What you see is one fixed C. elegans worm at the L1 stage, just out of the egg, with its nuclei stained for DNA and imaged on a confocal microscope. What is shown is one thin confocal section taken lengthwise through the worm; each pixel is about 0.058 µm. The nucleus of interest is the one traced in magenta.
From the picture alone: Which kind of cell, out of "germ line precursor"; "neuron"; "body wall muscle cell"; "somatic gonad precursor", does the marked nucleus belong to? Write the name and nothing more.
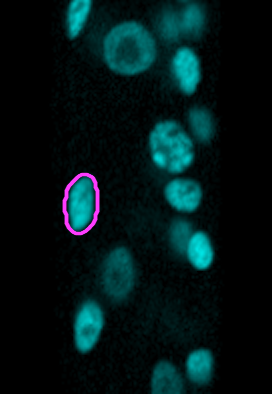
body wall muscle cell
